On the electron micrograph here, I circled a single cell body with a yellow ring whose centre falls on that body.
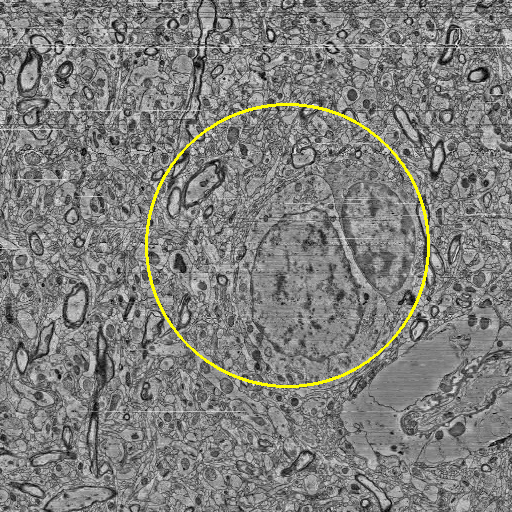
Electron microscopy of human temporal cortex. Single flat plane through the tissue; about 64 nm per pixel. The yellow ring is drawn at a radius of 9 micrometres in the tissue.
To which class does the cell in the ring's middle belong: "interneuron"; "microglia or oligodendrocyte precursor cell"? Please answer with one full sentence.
In this picture, the cell body circled at the ring's centre belongs to an interneuron.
